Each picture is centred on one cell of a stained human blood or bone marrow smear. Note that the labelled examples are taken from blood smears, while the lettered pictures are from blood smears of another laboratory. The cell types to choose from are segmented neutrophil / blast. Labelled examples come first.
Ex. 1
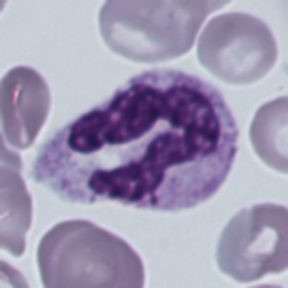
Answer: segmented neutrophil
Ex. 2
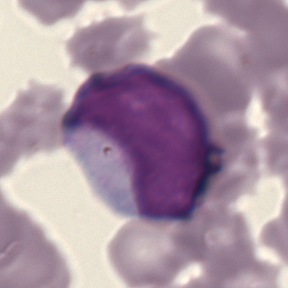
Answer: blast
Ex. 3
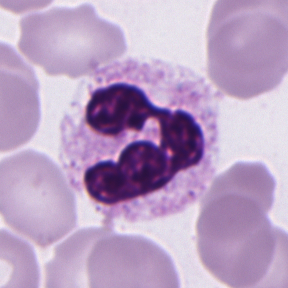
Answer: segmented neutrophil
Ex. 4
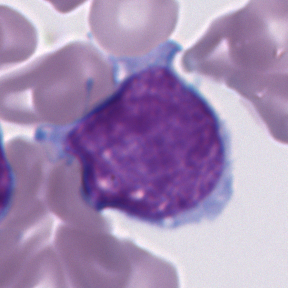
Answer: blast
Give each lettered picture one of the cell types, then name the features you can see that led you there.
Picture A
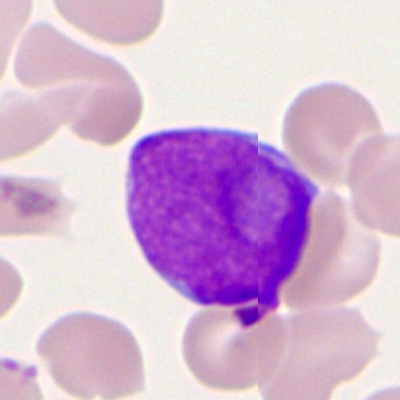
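blast. Evidence: The cytoplasm is only a thin deep blue rim around the nucleus.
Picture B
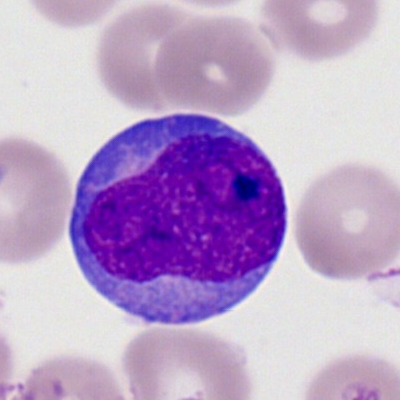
blast. Evidence: The nucleus fills most of the cell.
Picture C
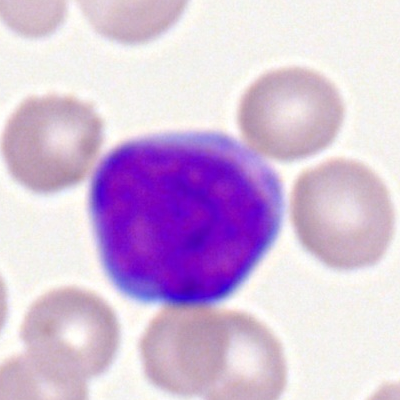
blast. Evidence: The nucleus is a single unlobed mass.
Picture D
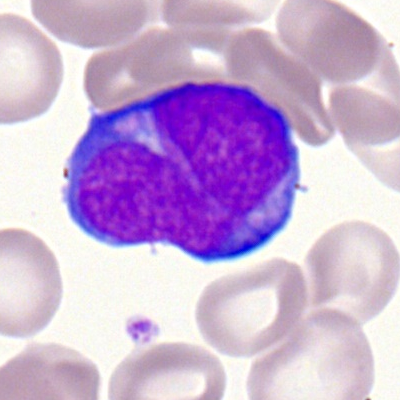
blast. Evidence: The cytoplasm forms only a thin rim around the nucleus.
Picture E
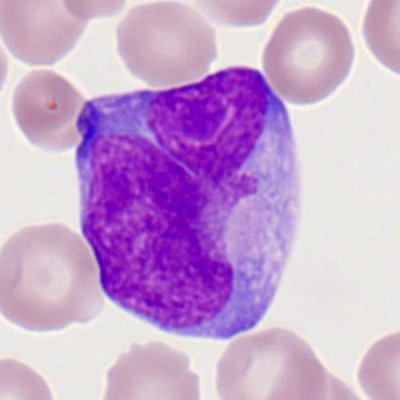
blast. Evidence: The nucleus fills most of the cell, leaving the most cytoplasm on the right side.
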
